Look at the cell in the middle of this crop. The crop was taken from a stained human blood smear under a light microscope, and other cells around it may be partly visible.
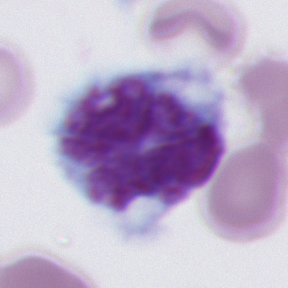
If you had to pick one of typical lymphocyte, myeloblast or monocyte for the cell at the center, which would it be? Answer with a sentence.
Present in the middle of the crop is a monocyte.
